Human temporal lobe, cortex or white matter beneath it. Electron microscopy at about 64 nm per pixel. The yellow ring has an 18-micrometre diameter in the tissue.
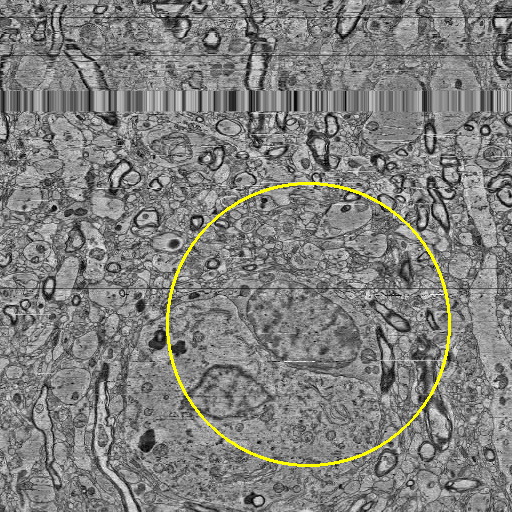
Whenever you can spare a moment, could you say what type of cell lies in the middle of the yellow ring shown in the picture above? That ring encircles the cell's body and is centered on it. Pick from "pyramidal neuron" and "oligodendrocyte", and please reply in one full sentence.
The cell whose body sits at the middle of the yellow ring is an oligodendrocyte.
